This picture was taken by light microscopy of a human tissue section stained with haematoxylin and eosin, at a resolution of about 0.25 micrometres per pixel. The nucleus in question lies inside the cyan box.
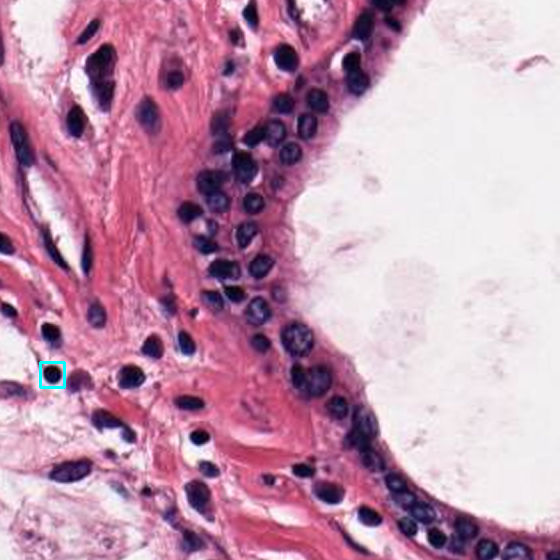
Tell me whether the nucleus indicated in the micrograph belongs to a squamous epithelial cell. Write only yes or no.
no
